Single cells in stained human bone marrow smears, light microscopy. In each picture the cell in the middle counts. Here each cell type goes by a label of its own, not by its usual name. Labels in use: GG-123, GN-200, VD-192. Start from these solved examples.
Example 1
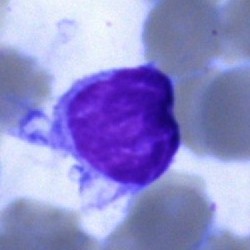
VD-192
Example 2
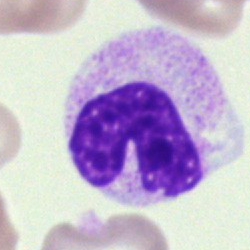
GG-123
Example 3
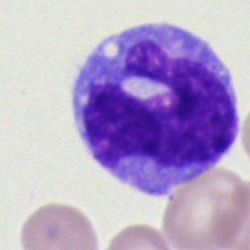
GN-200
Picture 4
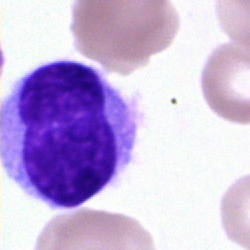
VD-192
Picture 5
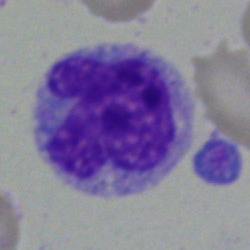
GN-200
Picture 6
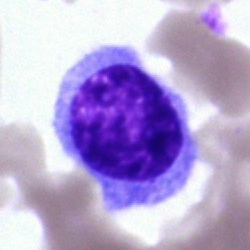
VD-192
